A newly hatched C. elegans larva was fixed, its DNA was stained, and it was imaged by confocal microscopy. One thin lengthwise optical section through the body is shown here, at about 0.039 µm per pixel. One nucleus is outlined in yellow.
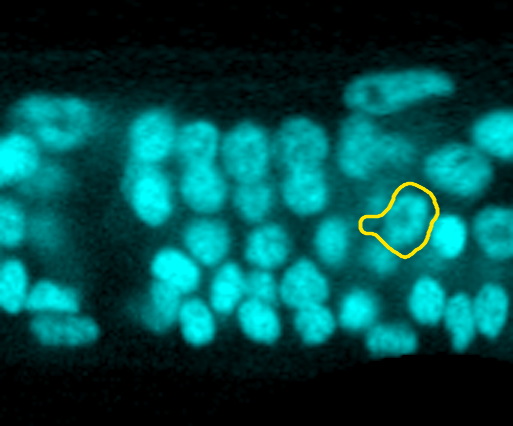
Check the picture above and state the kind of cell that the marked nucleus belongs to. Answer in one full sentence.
This nucleus is from a pharyngeal muscle cell.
